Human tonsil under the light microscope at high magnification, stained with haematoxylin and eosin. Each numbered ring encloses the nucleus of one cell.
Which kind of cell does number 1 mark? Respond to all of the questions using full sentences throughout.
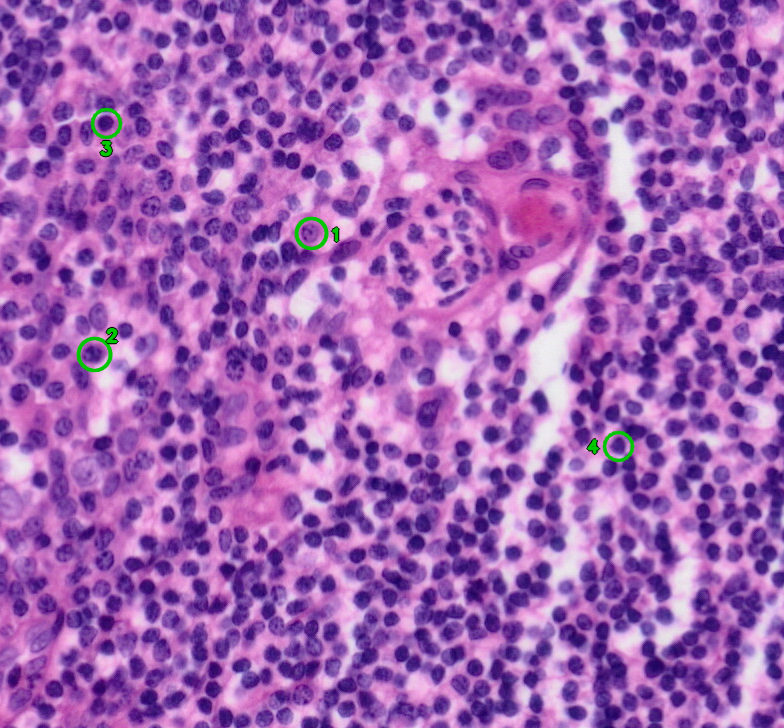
As for number 1, that cell is a plasma cell.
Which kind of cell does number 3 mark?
The cell identified by the number 3 is a plasma cell.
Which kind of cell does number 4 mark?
In this section, the cell tagged 4 is a small lymphocyte.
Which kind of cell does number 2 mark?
The numbered cell 2 in this field is a plasma cell.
